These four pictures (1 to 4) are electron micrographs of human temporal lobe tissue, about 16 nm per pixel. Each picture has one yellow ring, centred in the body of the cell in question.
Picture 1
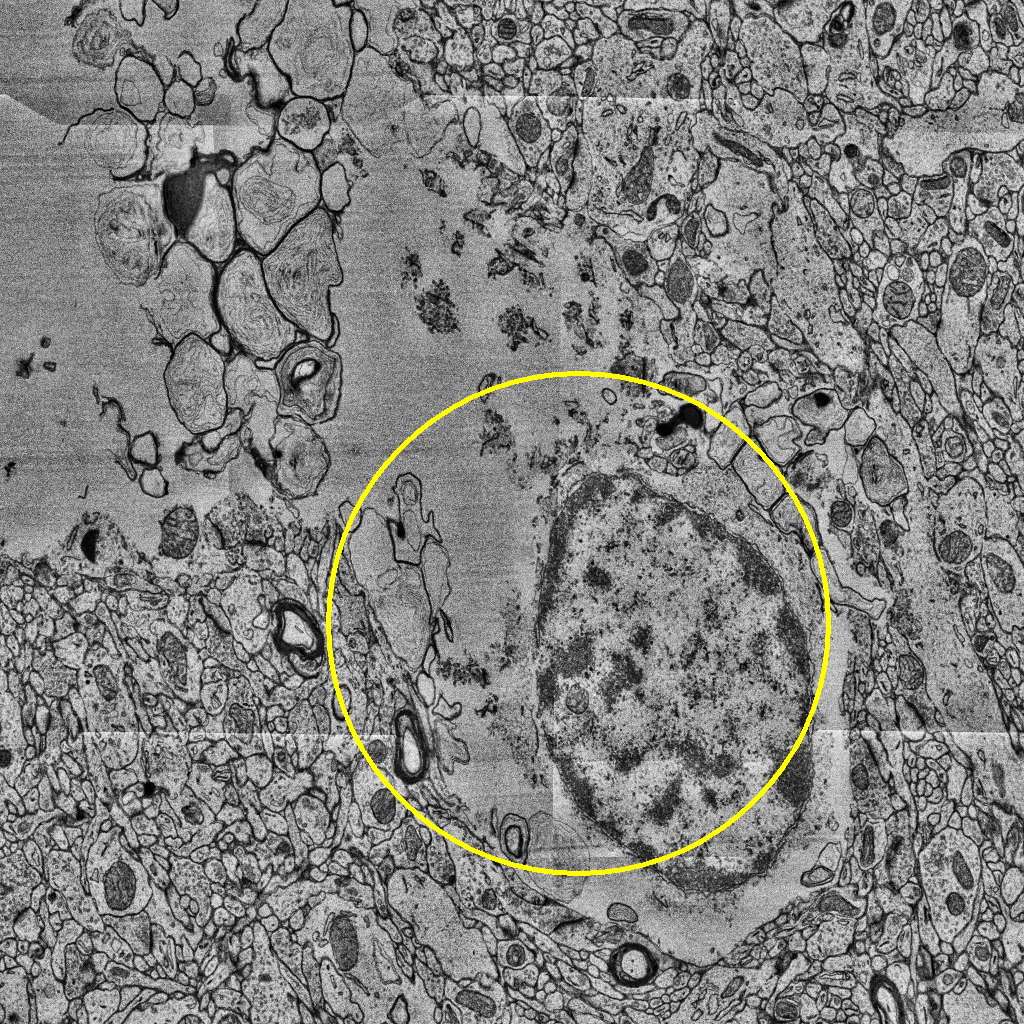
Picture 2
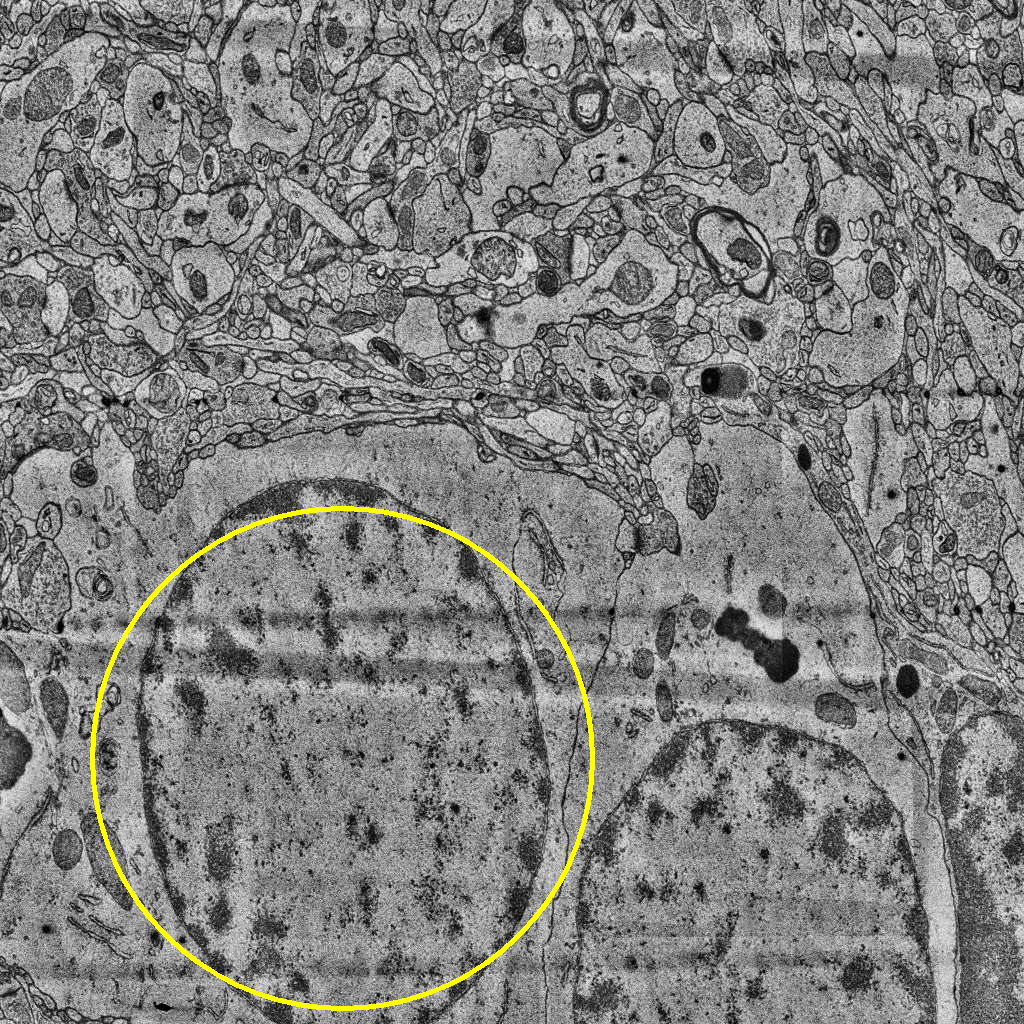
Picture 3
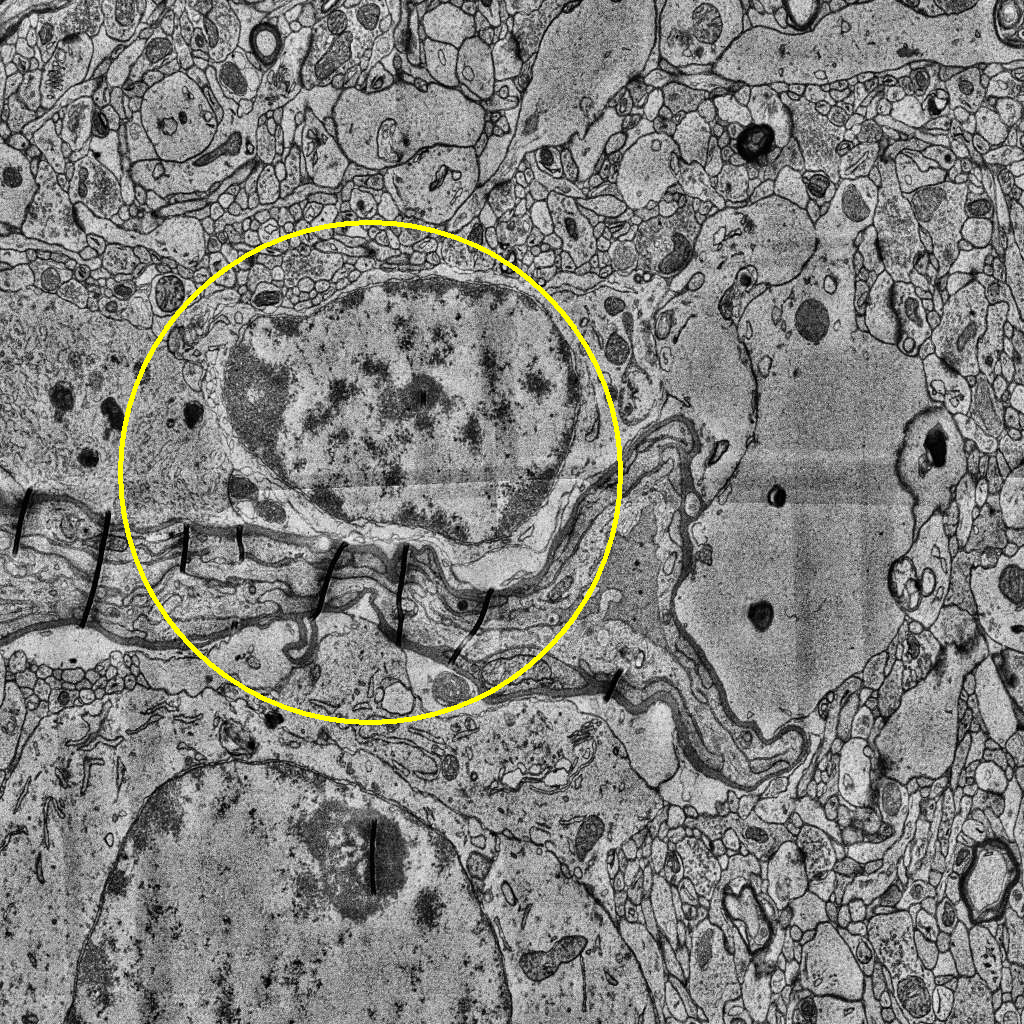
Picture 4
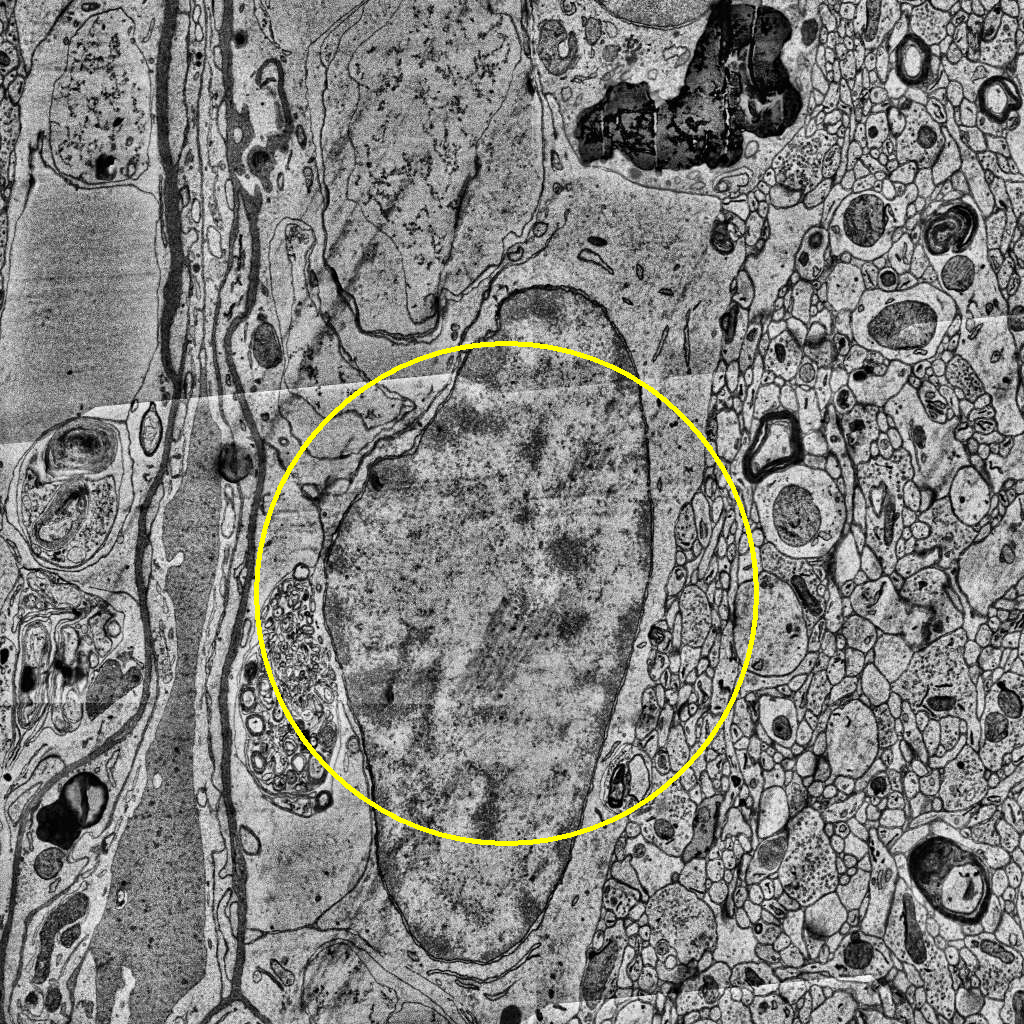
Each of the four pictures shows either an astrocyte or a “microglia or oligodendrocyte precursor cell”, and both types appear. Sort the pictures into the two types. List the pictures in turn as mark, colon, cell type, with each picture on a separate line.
1: microglia or oligodendrocyte precursor cell
2: astrocyte
3: microglia or oligodendrocyte precursor cell
4: microglia or oligodendrocyte precursor cell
